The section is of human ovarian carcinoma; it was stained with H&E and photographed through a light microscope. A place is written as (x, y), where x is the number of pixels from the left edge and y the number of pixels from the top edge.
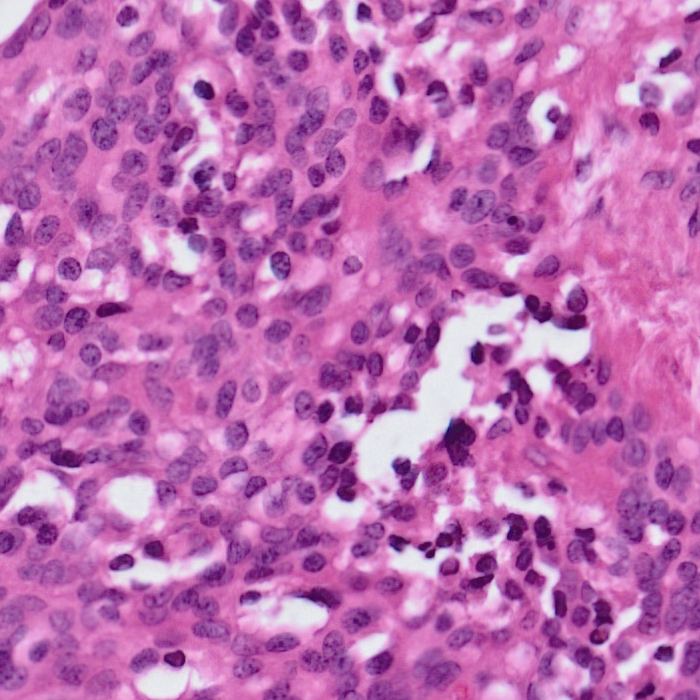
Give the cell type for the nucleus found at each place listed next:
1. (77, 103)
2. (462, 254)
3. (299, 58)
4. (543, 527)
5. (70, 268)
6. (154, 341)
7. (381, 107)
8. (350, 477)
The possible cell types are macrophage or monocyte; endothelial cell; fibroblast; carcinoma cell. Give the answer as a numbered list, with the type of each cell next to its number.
1. macrophage or monocyte
2. carcinoma cell
3. carcinoma cell
4. carcinoma cell
5. macrophage or monocyte
6. macrophage or monocyte
7. carcinoma cell
8. carcinoma cell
